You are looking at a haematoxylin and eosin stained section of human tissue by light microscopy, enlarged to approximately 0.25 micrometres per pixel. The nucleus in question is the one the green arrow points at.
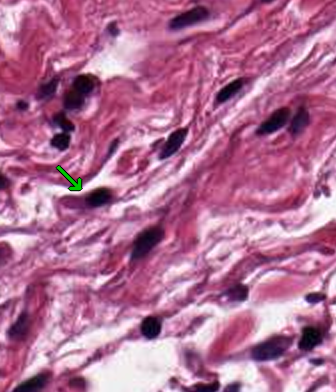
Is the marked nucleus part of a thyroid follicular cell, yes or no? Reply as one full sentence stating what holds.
No, rather than a thyroid follicular cell, it is a supporting cell that contains the marked nucleus.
